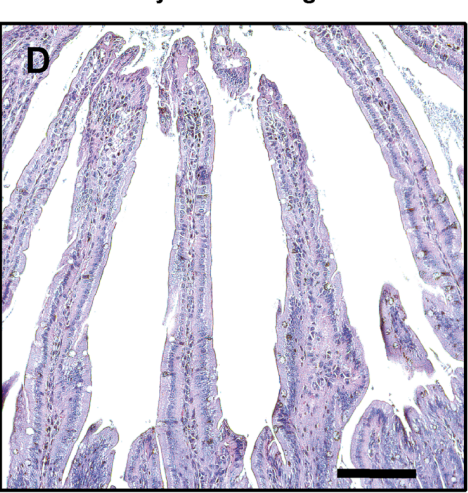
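Here the intestinal lining shows very long, slender villi stretching across the whole field, stained with hematoxylin and eosin. Each villus is covered by a single layer of columnar epithelial cells with purple nuclei lined up along the surface, and the pink edge faces the open white lumen between villi. Compared with a scale bar of the same length, these villi reach several times farther into the lumen than short villi would.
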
